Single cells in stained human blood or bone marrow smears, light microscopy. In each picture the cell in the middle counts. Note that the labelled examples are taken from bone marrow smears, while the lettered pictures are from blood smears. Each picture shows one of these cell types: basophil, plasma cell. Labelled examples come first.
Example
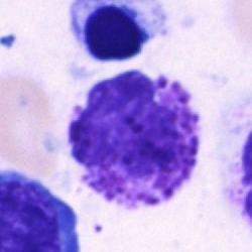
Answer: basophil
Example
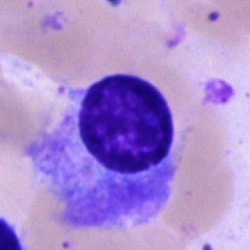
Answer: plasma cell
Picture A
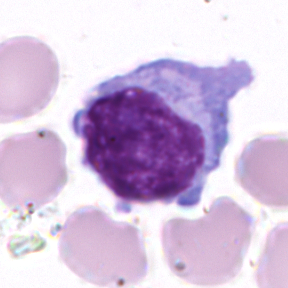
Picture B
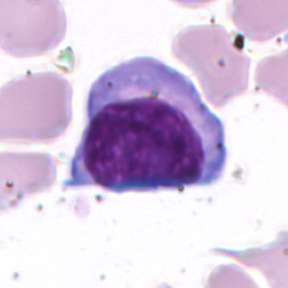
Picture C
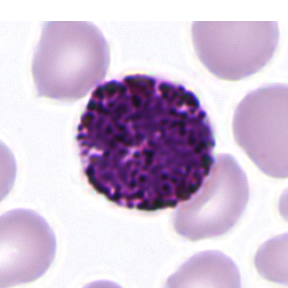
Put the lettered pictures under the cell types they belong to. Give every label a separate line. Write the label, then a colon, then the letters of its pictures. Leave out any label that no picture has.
basophil: C
plasma cell: A, B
